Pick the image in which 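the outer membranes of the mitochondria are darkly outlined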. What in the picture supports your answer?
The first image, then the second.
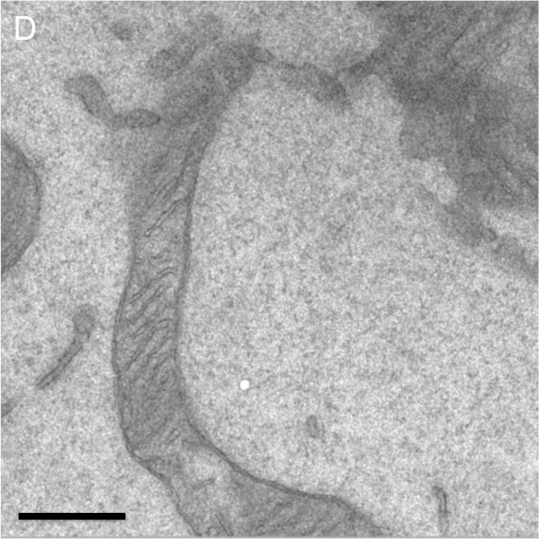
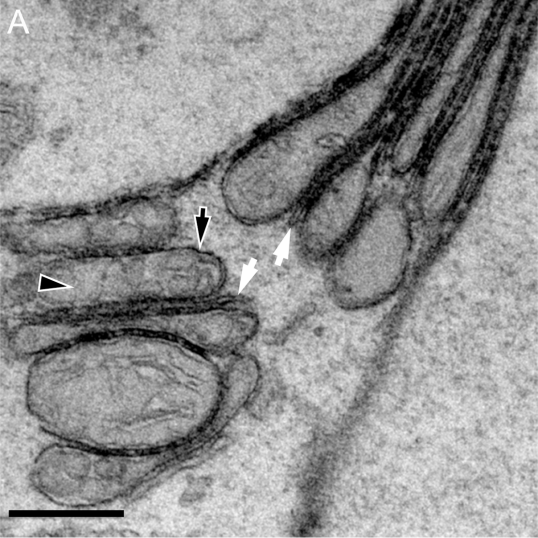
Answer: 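Second image: each mitochondrion is rimmed by a thick black line while its interior stays pale.
The second image.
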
